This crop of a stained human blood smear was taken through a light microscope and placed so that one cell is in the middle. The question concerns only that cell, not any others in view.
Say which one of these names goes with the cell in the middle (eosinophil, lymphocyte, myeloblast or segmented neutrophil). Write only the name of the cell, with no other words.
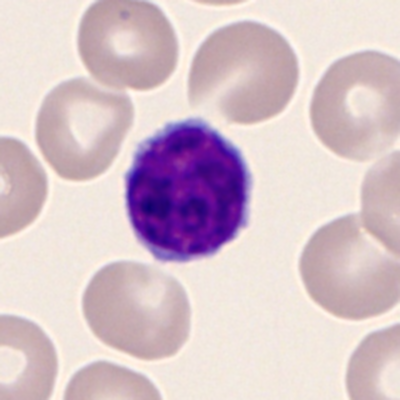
lymphocyte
